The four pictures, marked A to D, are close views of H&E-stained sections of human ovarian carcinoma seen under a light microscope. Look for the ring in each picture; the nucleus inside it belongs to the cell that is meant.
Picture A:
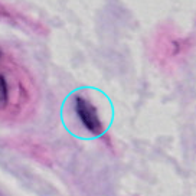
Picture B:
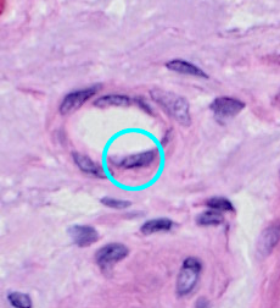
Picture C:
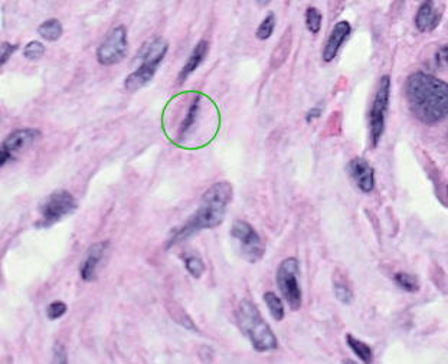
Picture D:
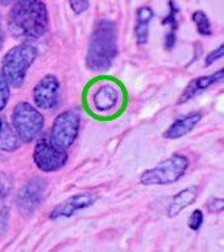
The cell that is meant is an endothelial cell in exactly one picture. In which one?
B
